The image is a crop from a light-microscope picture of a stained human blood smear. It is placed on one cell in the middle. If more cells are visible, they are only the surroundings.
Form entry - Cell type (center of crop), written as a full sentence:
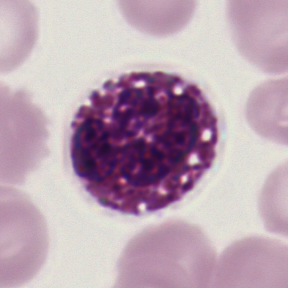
The centrally positioned cell in the crop represents an eosinophil.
